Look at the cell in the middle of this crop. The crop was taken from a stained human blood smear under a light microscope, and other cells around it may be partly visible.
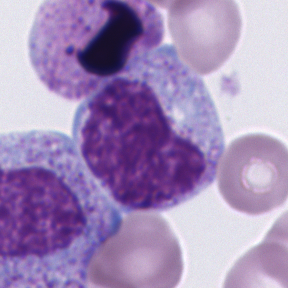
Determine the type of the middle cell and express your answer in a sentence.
For this crop, the cell in the middle is a promyelocyte.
